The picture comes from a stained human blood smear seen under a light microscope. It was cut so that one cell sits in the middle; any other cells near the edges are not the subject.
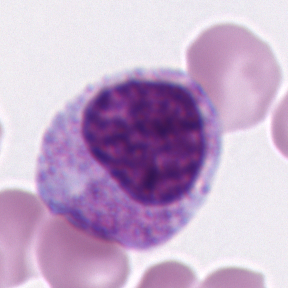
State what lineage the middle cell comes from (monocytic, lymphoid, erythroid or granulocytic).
granulocytic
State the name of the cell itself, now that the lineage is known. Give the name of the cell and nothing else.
myelocyte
